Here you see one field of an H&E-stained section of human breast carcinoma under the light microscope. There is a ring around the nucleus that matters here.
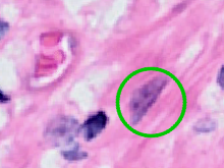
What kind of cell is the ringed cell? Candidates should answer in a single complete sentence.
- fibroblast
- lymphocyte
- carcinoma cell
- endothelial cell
As a matter of cell type, the ringed cell is a fibroblast.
